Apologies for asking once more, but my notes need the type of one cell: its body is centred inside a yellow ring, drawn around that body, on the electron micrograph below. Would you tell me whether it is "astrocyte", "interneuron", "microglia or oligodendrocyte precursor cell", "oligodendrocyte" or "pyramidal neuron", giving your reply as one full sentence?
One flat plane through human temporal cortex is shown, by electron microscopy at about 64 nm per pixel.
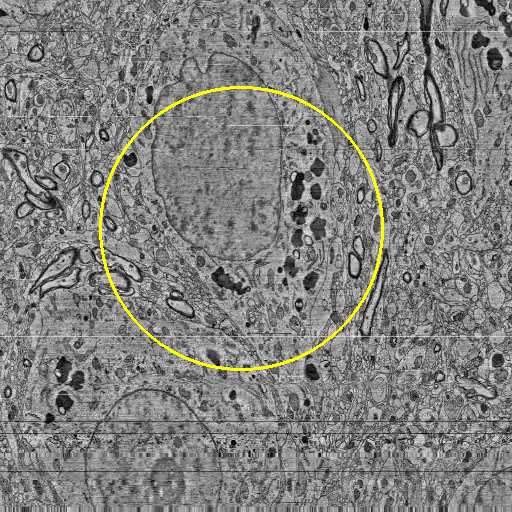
The cell that the yellow ring is centred on is an interneuron in this micrograph.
